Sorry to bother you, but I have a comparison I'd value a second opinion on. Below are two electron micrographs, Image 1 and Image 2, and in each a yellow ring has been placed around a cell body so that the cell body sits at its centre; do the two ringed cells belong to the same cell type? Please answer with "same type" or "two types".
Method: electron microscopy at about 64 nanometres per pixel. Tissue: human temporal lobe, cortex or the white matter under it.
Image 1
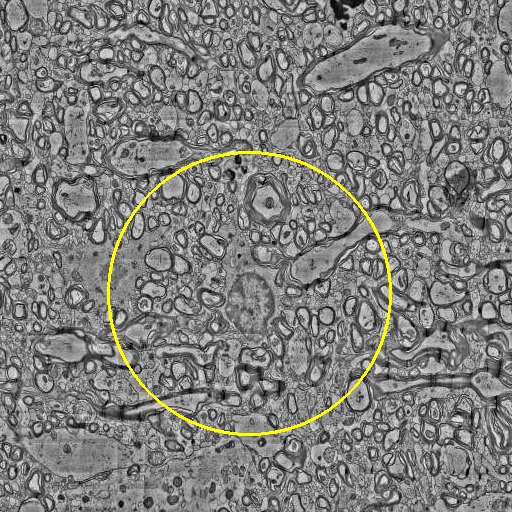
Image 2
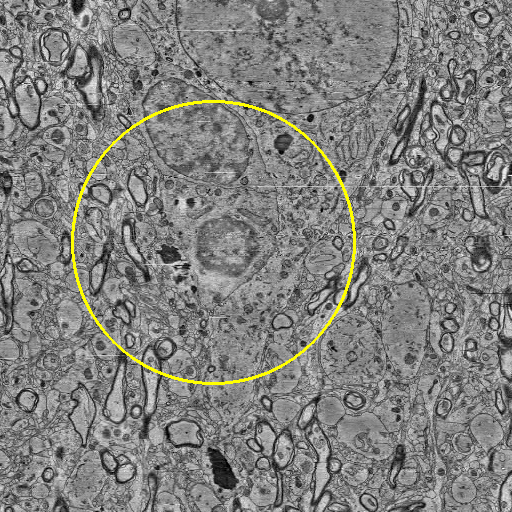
same type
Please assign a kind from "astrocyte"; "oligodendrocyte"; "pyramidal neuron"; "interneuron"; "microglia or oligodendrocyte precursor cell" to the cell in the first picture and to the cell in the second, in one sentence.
The cell in the first picture is an oligodendrocyte, and so is the one in the second.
